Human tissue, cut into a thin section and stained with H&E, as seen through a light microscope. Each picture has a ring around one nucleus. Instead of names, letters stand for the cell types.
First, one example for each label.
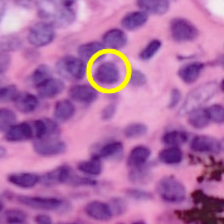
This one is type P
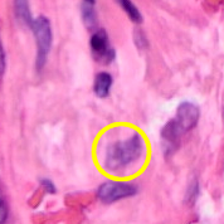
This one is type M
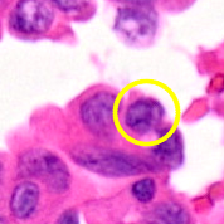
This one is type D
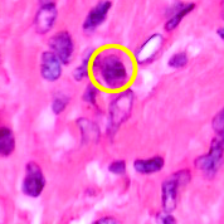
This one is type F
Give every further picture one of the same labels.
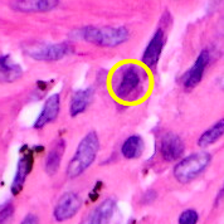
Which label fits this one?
type F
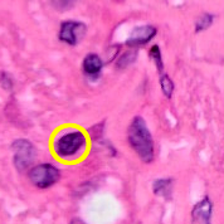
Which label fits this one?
type F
